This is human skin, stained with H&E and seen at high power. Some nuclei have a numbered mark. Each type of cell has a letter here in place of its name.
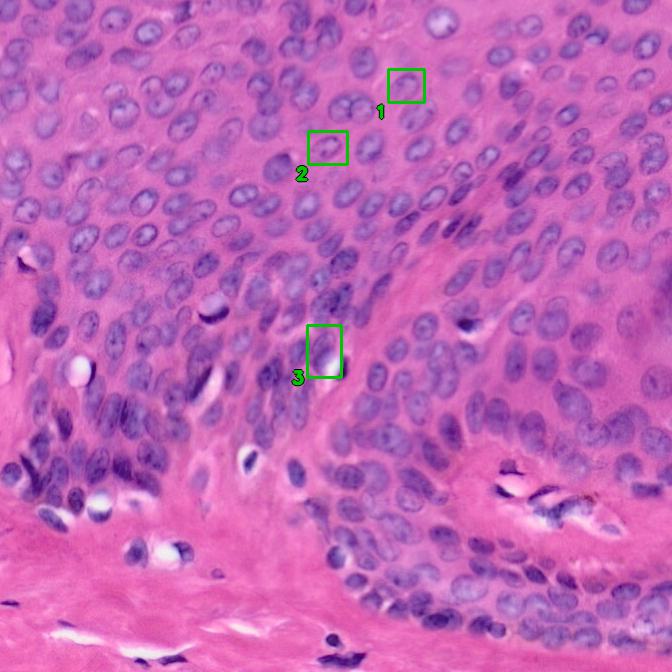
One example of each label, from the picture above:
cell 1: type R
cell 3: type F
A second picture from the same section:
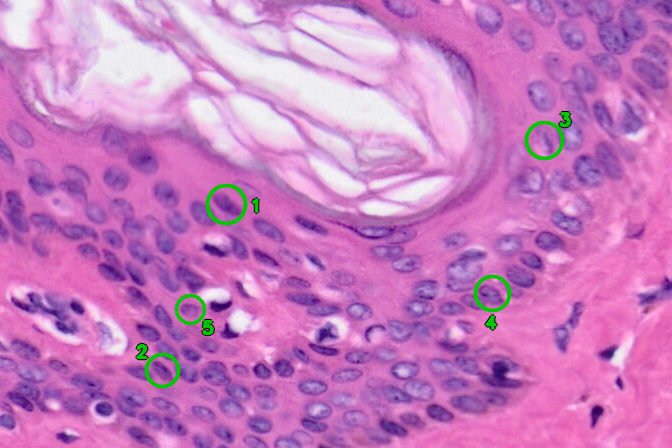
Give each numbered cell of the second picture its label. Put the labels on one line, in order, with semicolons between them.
type R; type F; type R; type F; type F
